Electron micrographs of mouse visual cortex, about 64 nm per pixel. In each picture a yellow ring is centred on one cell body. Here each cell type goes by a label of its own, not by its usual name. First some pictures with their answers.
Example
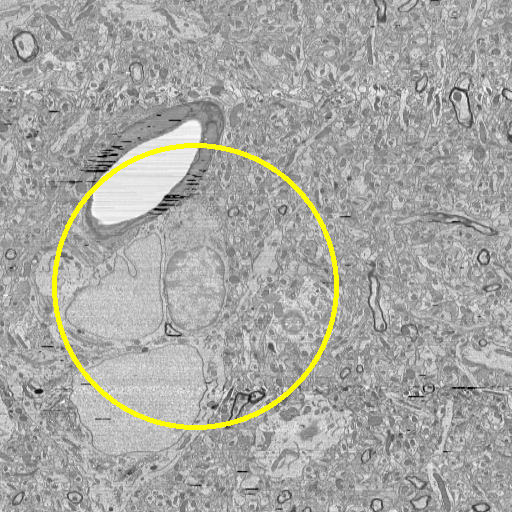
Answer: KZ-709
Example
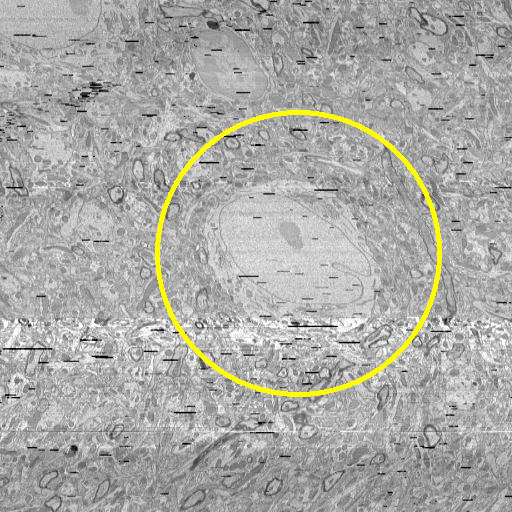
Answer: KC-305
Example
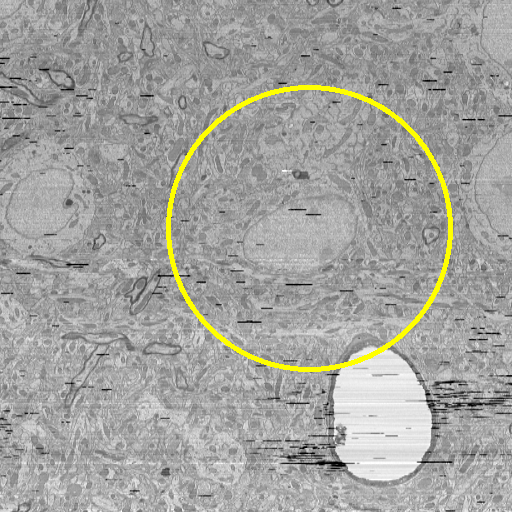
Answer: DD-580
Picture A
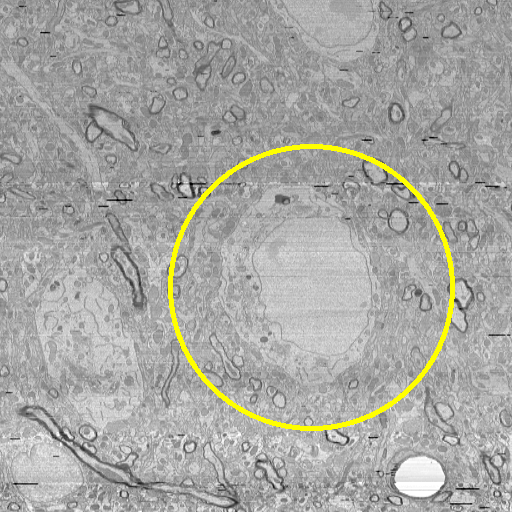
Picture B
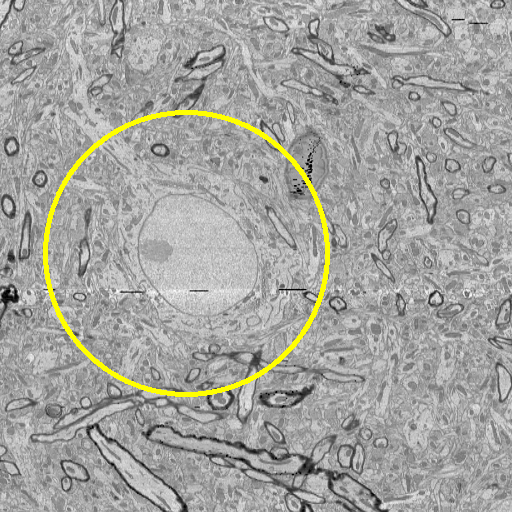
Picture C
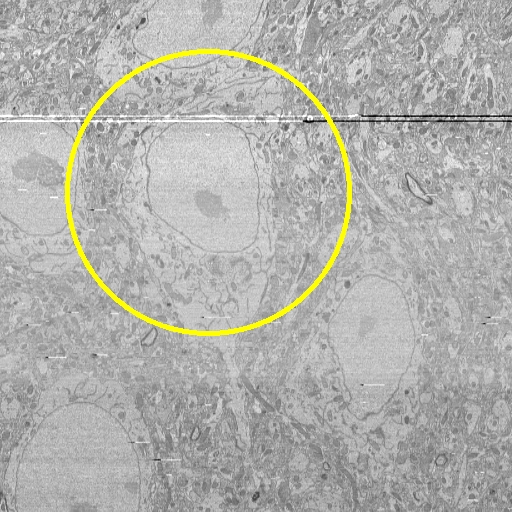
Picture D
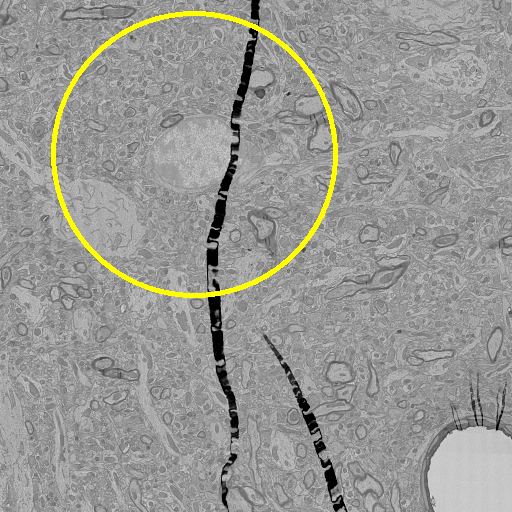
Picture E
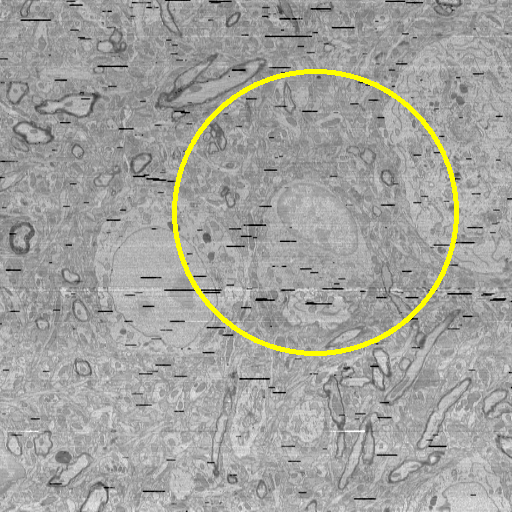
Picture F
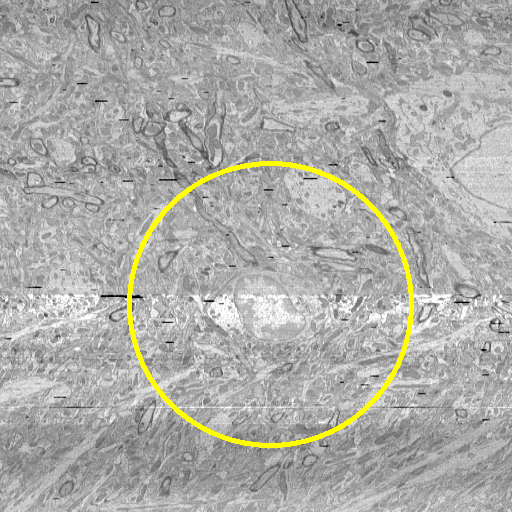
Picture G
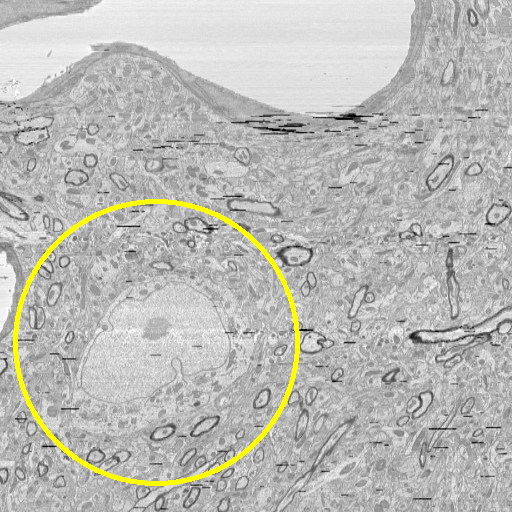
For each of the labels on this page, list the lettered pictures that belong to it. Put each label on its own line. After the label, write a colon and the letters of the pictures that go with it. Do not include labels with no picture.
KZ-709: D, E, F
KC-305: A, B, C, G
